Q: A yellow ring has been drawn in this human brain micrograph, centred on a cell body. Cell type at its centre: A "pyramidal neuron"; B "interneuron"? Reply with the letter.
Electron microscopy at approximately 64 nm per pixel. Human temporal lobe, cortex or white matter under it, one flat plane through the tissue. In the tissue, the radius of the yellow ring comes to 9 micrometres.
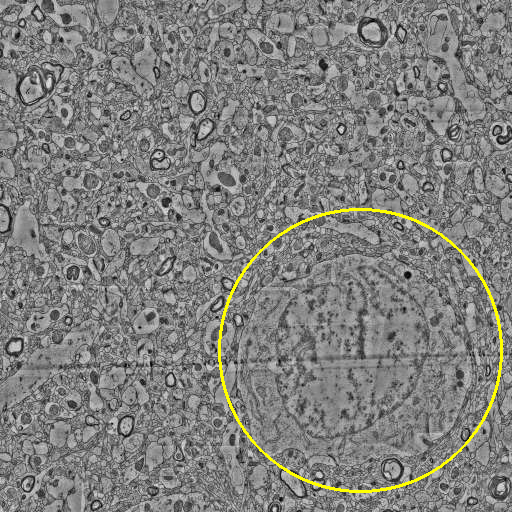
B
